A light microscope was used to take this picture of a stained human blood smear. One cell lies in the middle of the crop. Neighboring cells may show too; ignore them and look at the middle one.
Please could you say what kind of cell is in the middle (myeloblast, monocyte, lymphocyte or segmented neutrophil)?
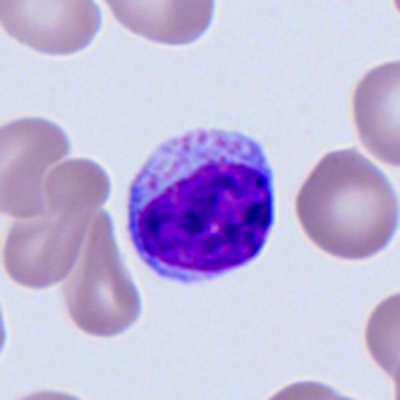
lymphocyte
